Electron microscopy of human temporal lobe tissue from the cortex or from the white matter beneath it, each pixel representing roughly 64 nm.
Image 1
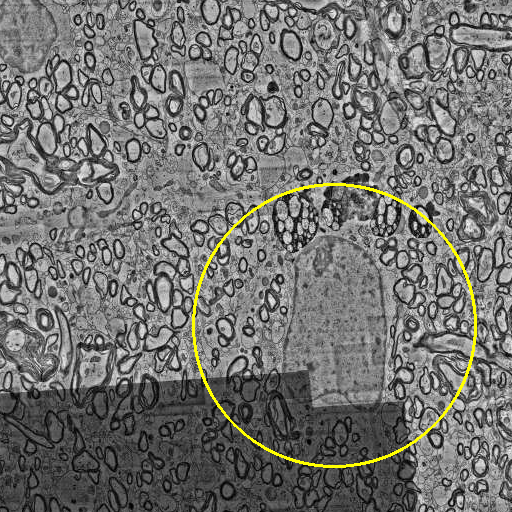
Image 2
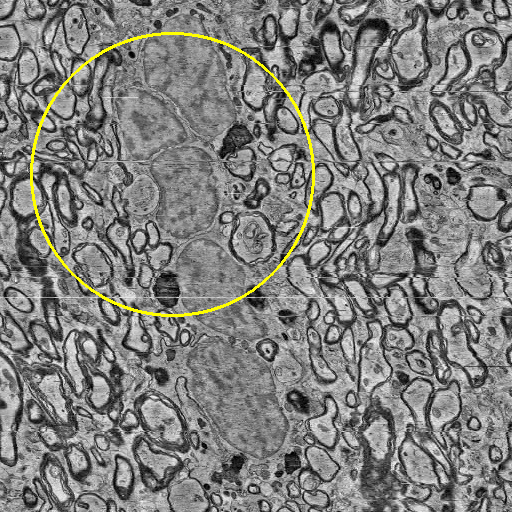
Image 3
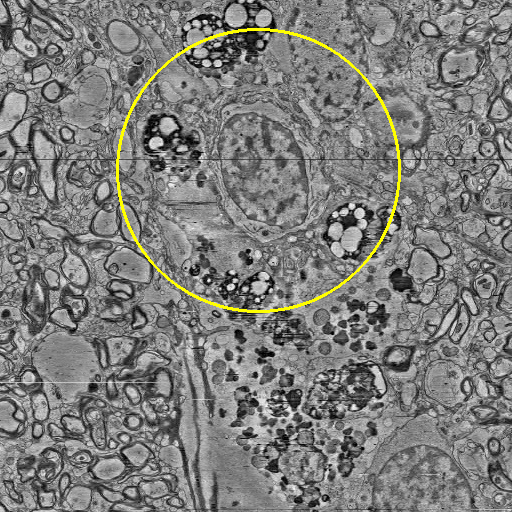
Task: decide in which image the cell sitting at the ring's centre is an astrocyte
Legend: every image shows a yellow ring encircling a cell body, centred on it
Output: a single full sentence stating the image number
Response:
In image 1, the cell at the middle of the ring is the match.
